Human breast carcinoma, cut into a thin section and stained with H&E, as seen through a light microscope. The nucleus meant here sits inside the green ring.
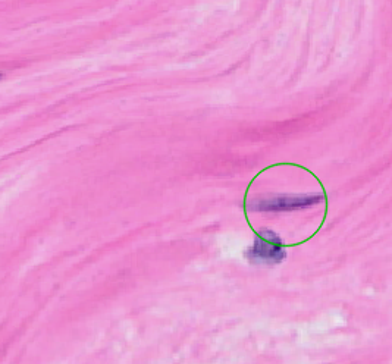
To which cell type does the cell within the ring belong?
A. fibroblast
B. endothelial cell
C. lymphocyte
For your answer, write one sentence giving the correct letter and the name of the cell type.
In agreement with option A, the cell within the ring is a fibroblast.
